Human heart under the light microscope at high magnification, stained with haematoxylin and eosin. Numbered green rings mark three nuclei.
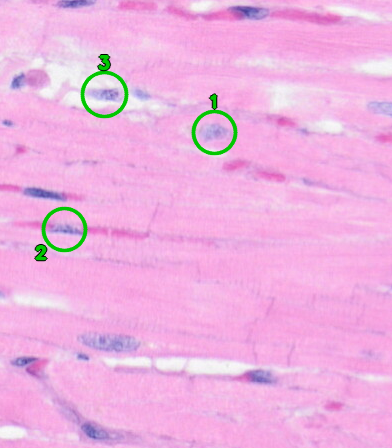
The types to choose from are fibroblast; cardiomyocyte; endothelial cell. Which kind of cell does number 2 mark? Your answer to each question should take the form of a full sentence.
The cell that goes by number 2 is an endothelial cell.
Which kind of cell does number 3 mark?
Regarding cell 3, this one is a fibroblast.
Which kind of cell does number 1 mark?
The cell with the number 1 is a cardiomyocyte.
